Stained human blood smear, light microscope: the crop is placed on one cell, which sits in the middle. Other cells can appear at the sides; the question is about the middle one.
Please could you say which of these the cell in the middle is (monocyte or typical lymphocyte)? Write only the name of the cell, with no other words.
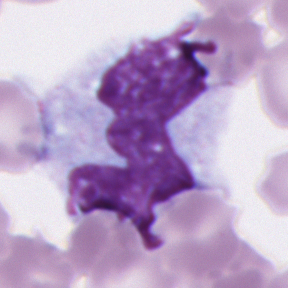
monocyte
